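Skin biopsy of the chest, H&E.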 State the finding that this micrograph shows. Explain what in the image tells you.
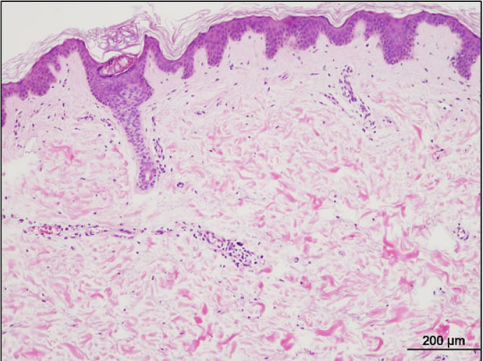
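Small clusters of dark purple nuclei sit around small vessels in the dermis. The clusters lie in the dermis beneath the epidermis. The rest of the pink collagenous dermis holds few nuclei. On this evidence: perivascular inflammatory cell infiltration.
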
